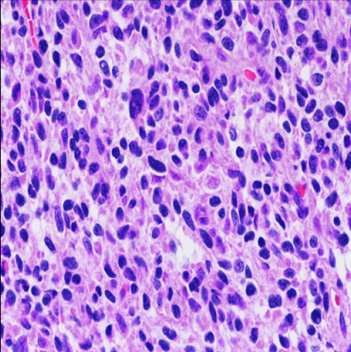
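Tumor of spindled to ovoid cells with oval to elongated nuclei set in pink cytoplasm. The cytoplasm is moderate in amount and contains small clear vacuoles in places. Nuclei vary in size and shape, with a few enlarged irregular ones among smaller ovoid nuclei. The cells lie closely together without an orderly pattern. A few red blood cells are seen between them.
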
